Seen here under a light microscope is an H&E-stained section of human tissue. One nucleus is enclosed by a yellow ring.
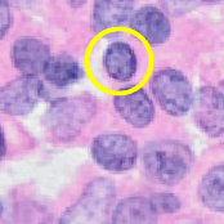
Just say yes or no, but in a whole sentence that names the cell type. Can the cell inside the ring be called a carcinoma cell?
Yes, the description of the cell inside the ring as a carcinoma cell is accurate.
